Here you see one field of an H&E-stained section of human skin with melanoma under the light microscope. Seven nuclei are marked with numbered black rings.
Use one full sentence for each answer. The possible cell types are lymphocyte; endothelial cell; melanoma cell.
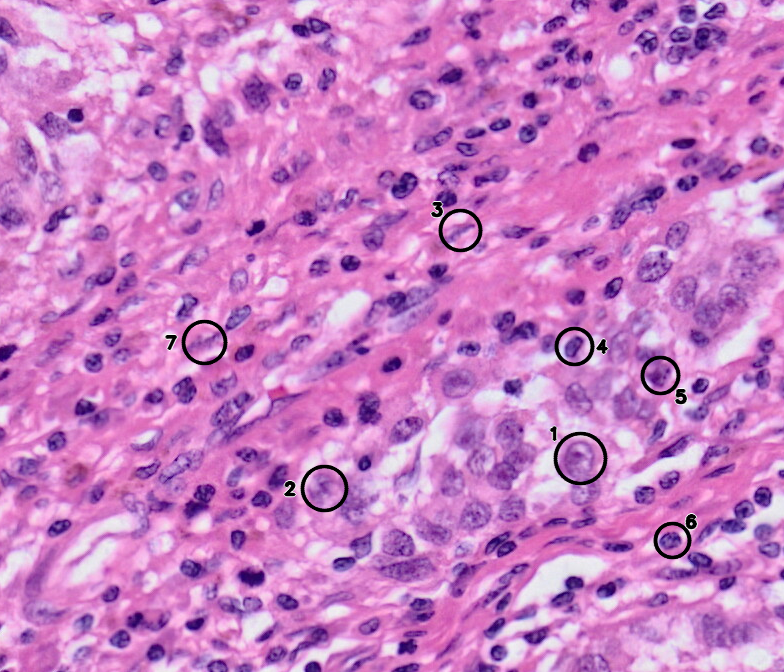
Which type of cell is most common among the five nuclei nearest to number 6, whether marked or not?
Endothelial cells make up most of the five nuclei closest to number 6.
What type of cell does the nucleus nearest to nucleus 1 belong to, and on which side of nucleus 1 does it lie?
A melanoma cell lies closest, below nucleus 1.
